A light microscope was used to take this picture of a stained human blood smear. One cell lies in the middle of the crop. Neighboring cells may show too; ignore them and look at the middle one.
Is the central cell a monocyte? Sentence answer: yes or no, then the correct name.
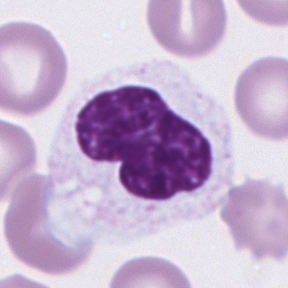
No, the middle cell is actually a band neutrophil rather than a monocyte.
